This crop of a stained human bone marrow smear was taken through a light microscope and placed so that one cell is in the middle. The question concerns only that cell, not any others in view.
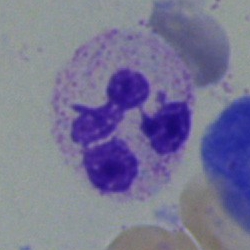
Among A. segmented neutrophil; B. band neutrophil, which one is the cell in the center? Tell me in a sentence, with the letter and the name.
The cell right in the middle is a segmented neutrophil, so option A is the one.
